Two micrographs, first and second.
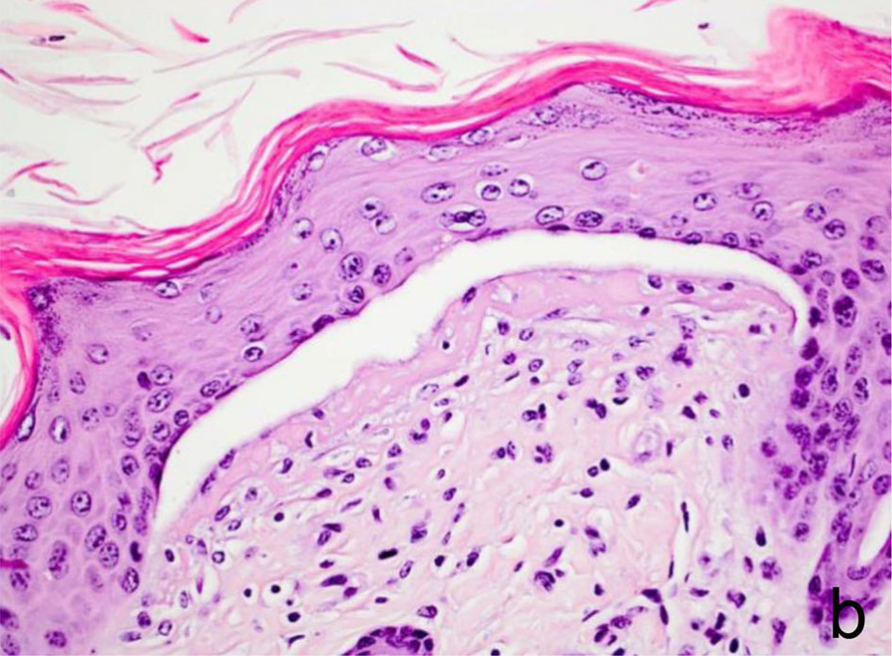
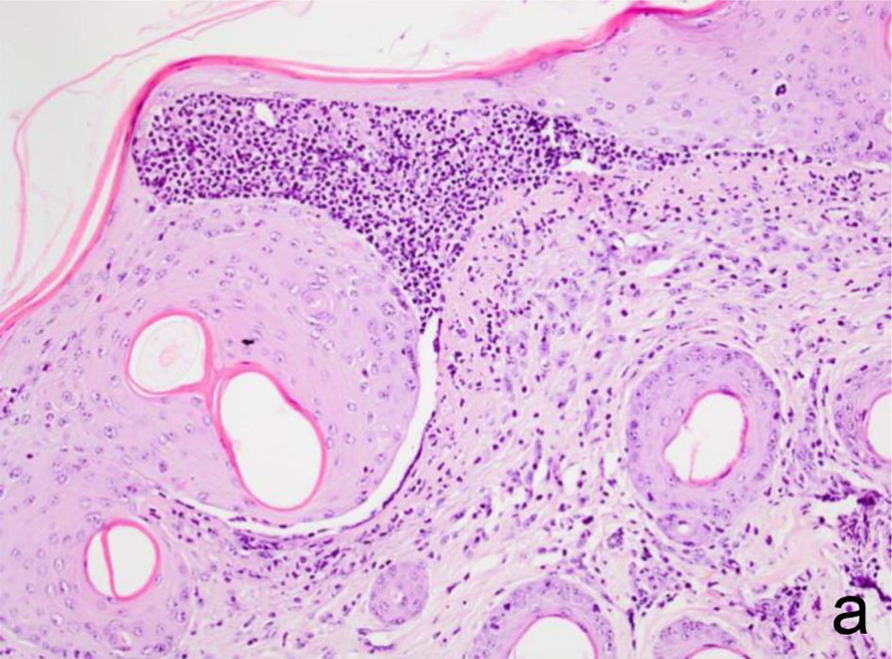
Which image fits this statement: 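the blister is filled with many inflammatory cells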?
the second image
